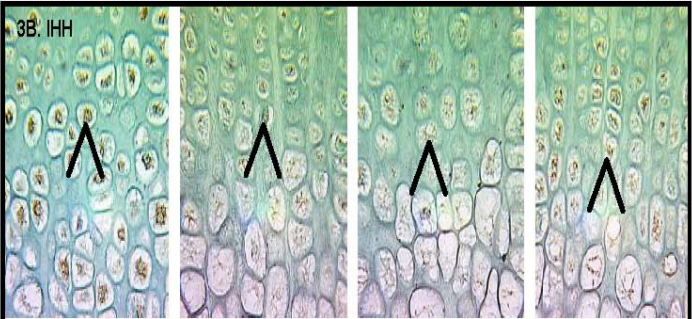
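Chondrocytes lie in rounded lacunae set in a blue-green matrix, lined up in columns. Toward the bottom the lacunae enlarge into big, clear spaces of hypertrophic chondrocytes, and brown granular staining lies within many of the cells.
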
